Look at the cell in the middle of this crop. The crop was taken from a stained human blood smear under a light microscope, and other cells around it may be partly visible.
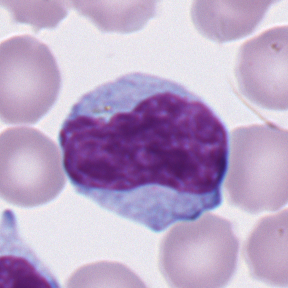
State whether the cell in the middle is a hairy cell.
no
